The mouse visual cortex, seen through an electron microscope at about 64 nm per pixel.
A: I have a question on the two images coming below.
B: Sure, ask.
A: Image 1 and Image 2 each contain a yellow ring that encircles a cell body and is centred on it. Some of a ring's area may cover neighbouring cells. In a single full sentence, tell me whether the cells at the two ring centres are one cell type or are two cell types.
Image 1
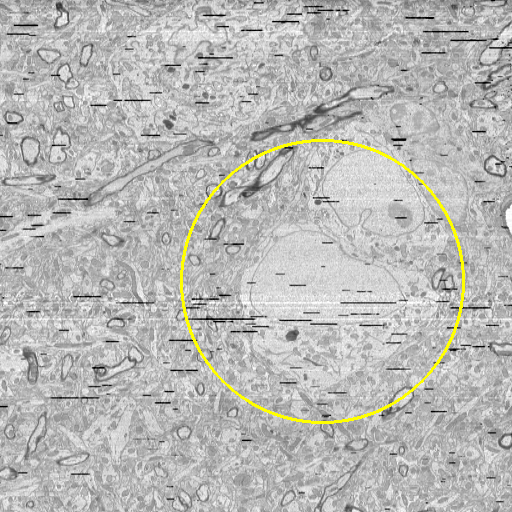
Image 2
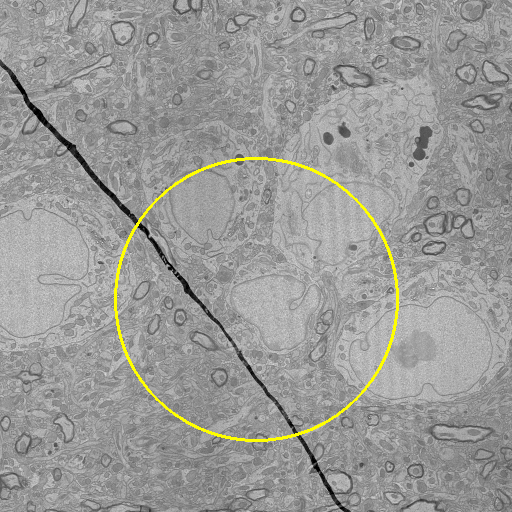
As for the ring-centre cells, the one in Image 1 and the one in Image 2 are two cell types.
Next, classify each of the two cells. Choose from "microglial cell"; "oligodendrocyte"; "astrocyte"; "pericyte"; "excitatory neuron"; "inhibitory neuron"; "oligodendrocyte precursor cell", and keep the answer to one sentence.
In the first picture it is an excitatory neuron; in the second it is an oligodendrocyte precursor cell.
